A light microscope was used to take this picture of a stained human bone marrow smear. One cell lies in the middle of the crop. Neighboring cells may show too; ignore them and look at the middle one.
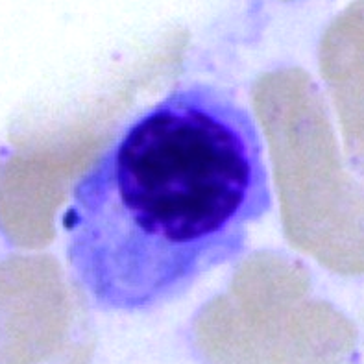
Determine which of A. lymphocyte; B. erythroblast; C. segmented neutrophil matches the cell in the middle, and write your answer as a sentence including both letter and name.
Option B is the keyed answer: the cell in the middle is an erythroblast.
